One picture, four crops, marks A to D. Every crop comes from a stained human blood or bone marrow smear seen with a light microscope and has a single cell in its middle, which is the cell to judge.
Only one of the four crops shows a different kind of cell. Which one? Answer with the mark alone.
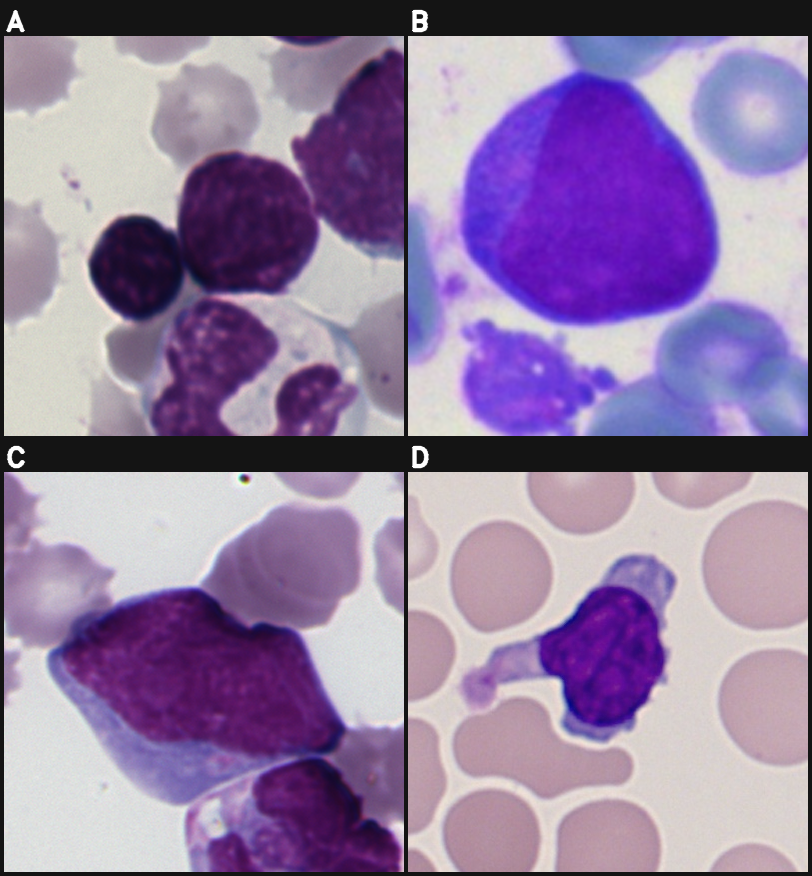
D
